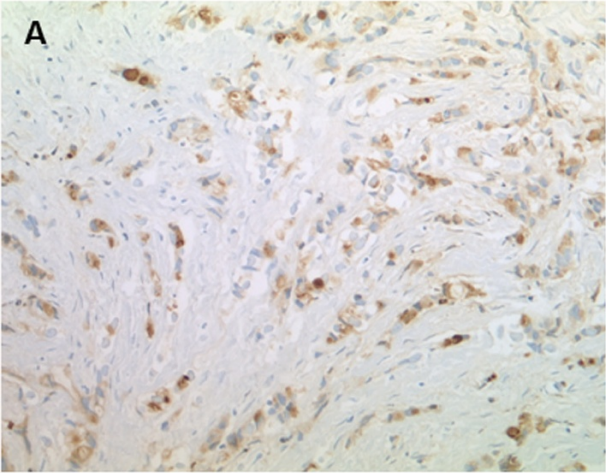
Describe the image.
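Invasive lobular carcinoma with small discohesive tumor cells infiltrating abundant pale fibrous stroma in single-file strands. The cells have small round nuclei and brown cytoplasm of varying intensity, a few staining dark brown.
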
